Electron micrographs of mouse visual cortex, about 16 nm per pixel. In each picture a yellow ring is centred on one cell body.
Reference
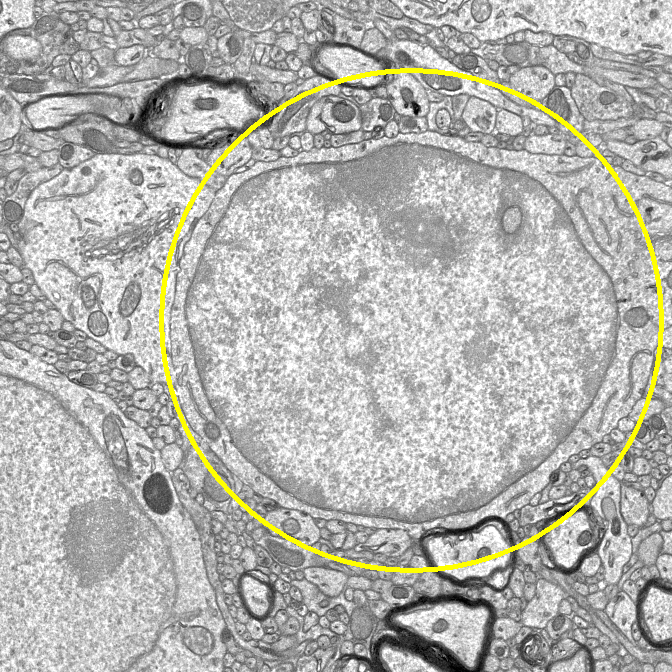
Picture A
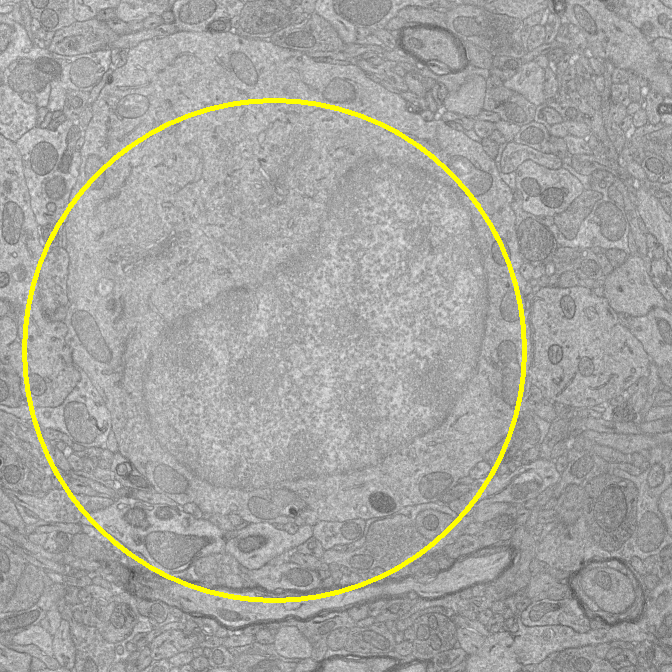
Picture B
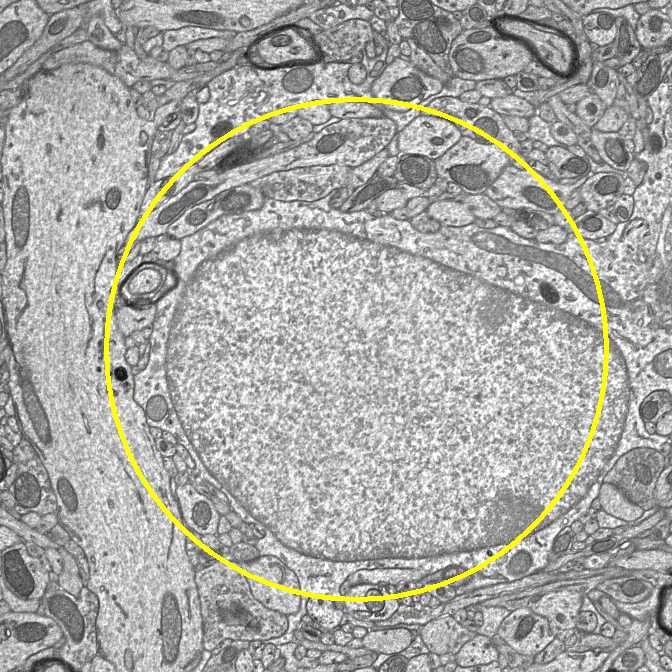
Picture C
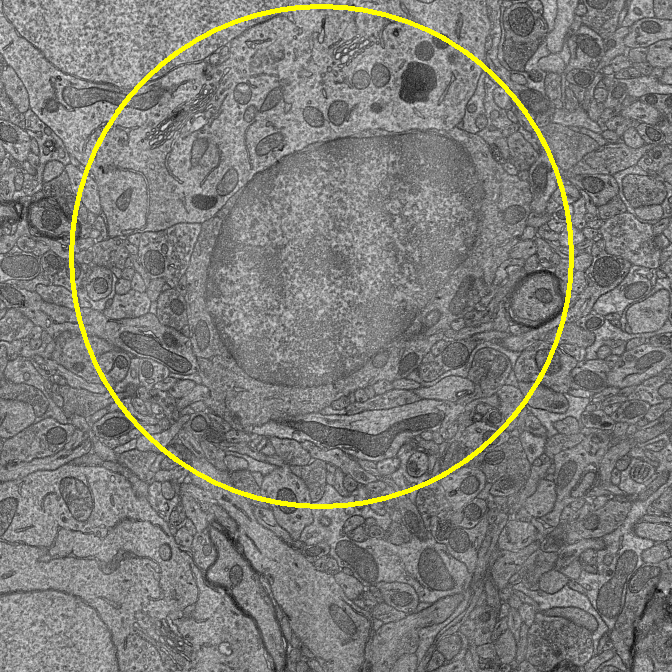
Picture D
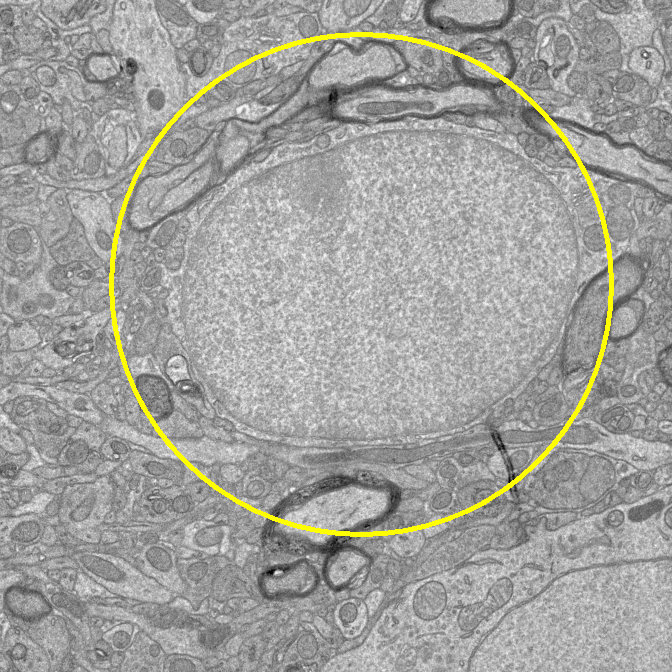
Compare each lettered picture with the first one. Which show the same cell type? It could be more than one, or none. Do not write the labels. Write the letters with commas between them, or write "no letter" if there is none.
A, C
